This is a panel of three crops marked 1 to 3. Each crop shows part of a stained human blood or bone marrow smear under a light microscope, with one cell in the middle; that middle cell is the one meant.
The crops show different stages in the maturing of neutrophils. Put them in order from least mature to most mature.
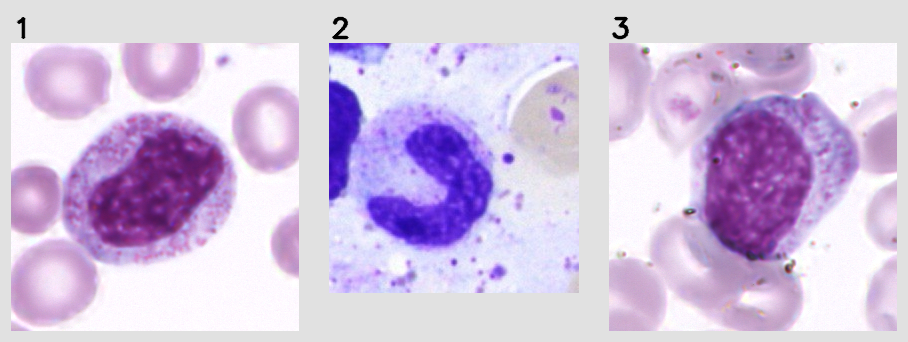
3, 1, 2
